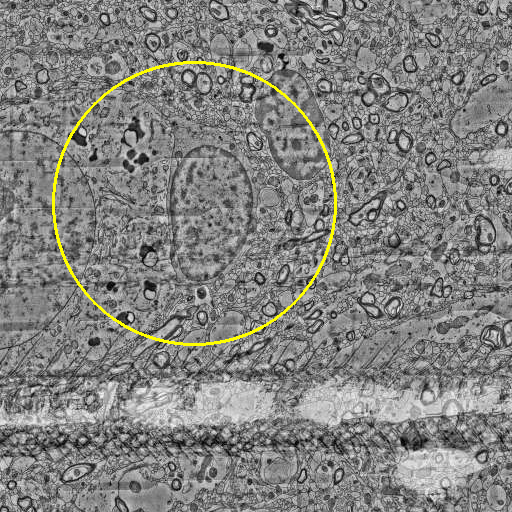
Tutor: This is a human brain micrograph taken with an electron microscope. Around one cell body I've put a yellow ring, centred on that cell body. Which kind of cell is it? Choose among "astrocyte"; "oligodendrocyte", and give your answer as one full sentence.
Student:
Going by your list, the cell centred in the yellow ring is an oligodendrocyte.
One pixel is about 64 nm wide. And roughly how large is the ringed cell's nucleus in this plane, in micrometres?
About 9 by 5 micrometers; the nucleus is clearly longer than it is wide in this plane.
